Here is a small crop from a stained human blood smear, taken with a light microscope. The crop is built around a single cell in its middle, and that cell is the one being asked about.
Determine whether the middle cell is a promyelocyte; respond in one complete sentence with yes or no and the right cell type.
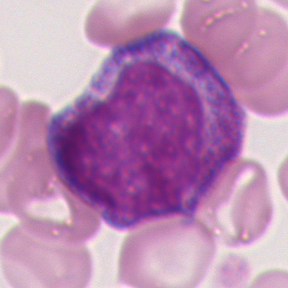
Yes, the middle cell of the field is a promyelocyte.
